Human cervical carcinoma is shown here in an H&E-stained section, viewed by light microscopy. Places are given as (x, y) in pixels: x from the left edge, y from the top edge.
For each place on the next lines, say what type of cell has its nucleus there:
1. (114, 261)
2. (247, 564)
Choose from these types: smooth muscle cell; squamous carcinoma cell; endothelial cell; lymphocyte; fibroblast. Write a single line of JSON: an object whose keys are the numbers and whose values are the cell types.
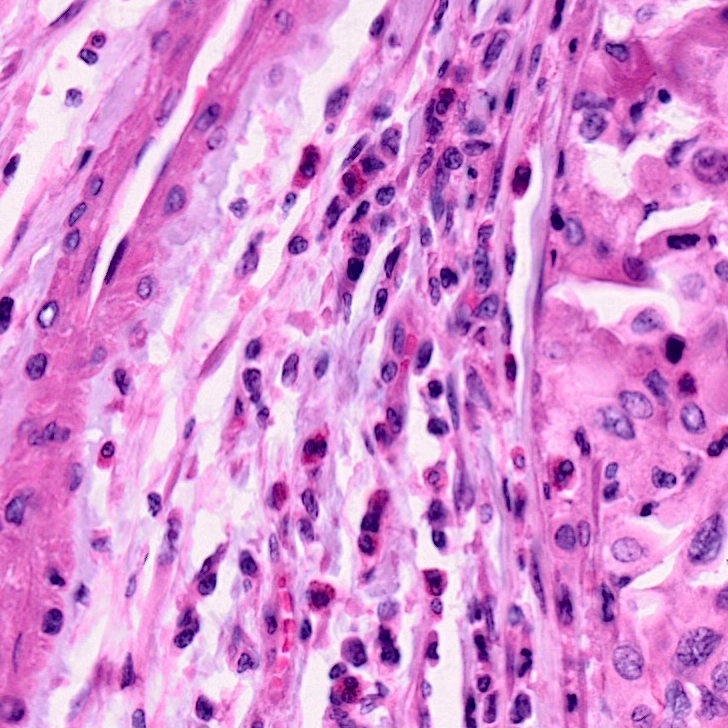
{"1": "endothelial cell", "2": "lymphocyte"}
